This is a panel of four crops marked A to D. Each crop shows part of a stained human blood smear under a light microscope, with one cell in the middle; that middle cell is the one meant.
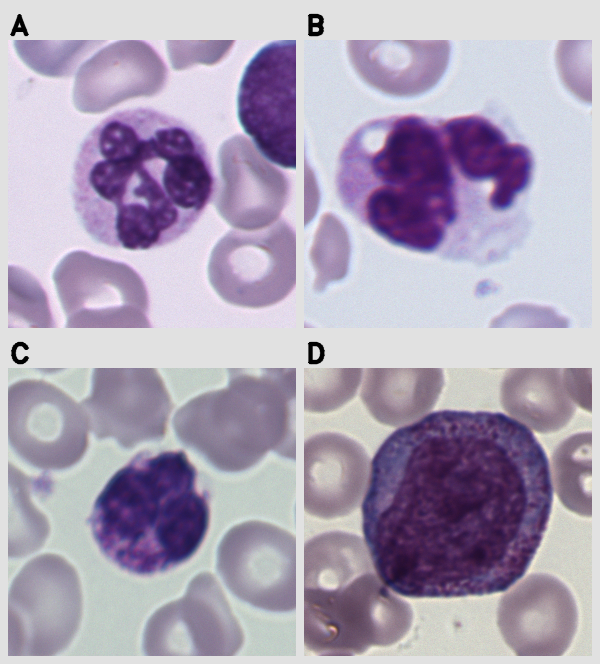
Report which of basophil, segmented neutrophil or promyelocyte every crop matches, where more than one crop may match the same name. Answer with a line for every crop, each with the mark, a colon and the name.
A: segmented neutrophil
B: segmented neutrophil
C: basophil
D: promyelocyte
